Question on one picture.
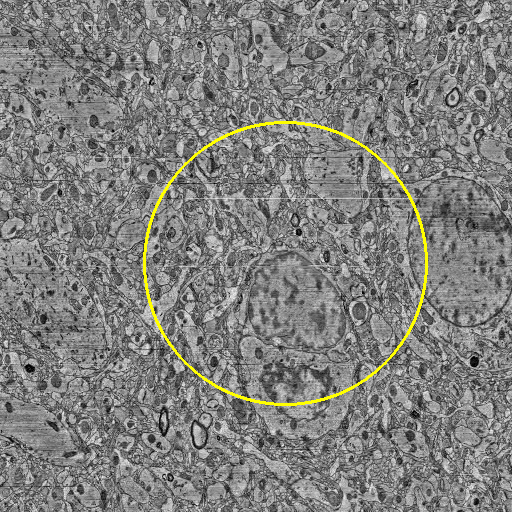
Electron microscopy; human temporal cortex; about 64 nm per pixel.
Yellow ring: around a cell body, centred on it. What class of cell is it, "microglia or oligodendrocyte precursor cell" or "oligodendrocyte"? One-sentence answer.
This is an oligodendrocyte, the cell the ring is centred on.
